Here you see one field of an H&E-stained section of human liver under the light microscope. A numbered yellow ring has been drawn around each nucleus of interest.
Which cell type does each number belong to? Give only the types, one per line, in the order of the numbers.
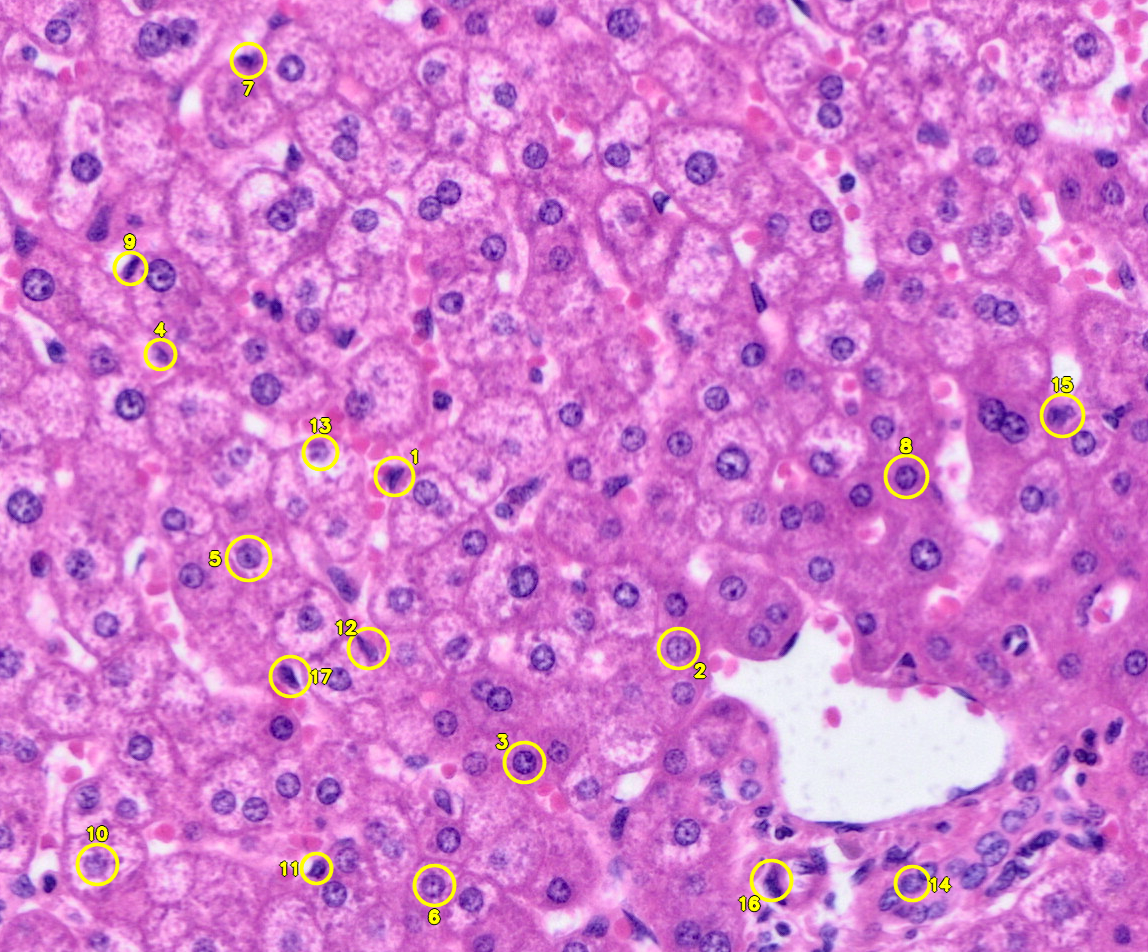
endothelial cell
hepatocyte
hepatocyte
Kupffer cell
hepatocyte
hepatocyte
endothelial cell
hepatocyte
fibroblast or stellate cell
hepatocyte
fibroblast or stellate cell
endothelial cell
hepatocyte
cholangiocyte
fibroblast or stellate cell
fibroblast or stellate cell
endothelial cell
